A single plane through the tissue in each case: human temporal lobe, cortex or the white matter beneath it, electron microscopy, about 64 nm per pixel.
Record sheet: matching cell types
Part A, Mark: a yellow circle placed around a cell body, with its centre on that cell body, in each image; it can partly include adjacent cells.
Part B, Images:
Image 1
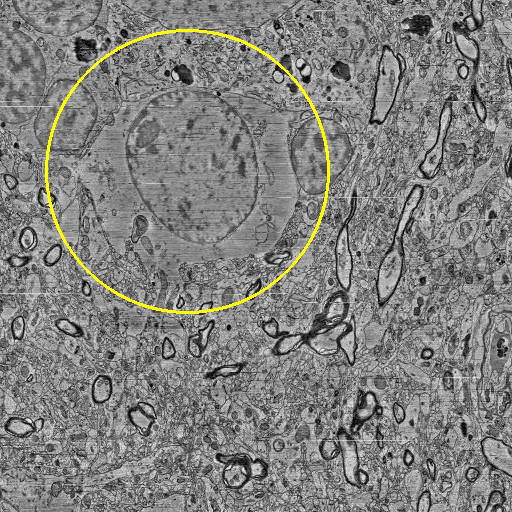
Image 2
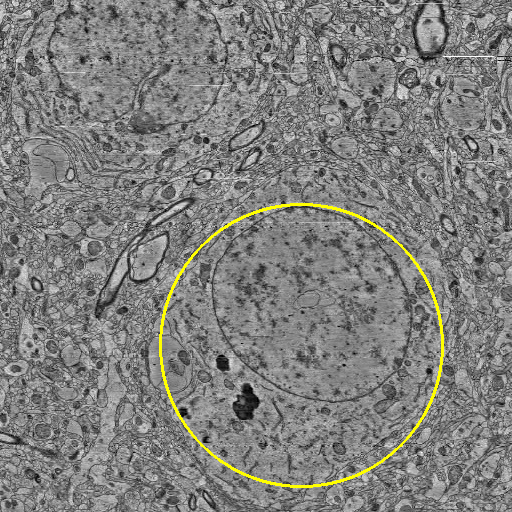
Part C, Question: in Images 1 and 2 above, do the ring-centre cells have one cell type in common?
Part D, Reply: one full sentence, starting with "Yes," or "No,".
No, the ring-centre cells of Image 1 and Image 2 are each of a separate cell type.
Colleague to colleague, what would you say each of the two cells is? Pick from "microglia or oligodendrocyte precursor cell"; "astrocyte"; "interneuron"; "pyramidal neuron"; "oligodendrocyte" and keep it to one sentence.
The cell in the first picture is an astrocyte; the second picture's cell is a pyramidal neuron.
